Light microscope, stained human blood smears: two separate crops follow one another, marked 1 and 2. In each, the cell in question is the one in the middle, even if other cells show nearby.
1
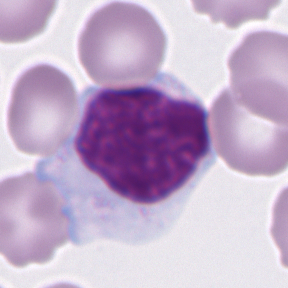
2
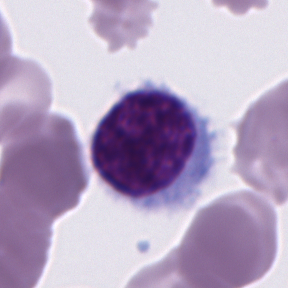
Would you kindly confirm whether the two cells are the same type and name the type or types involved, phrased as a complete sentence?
No, a typical lymphocyte is what crop 1 shows, and a hairy cell is what crop 2 shows.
